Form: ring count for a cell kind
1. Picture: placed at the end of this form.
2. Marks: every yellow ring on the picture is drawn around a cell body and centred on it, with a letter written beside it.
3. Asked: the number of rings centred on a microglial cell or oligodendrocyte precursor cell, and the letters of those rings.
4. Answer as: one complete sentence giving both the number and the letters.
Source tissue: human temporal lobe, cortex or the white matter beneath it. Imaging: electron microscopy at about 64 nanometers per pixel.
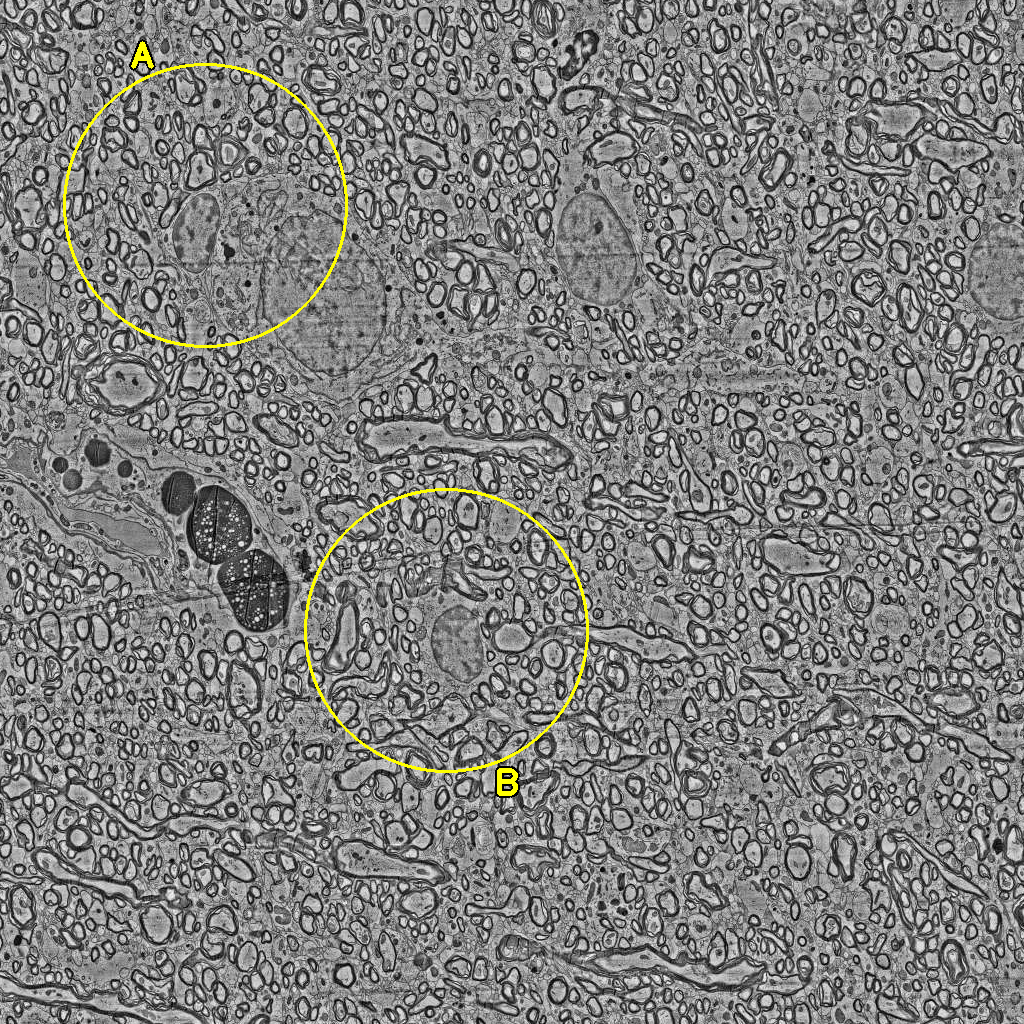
Only one ring in the micrograph is centred on a microglial cell or oligodendrocyte precursor cell, and its letter is A.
